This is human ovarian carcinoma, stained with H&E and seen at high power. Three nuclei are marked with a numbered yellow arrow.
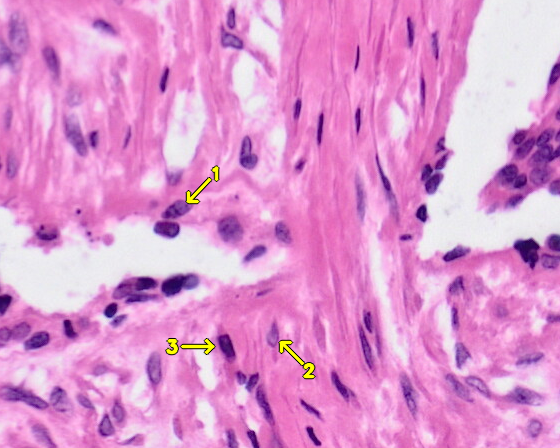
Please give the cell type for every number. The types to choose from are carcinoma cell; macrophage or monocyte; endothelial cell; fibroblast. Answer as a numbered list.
1. macrophage or monocyte
2. fibroblast
3. fibroblast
